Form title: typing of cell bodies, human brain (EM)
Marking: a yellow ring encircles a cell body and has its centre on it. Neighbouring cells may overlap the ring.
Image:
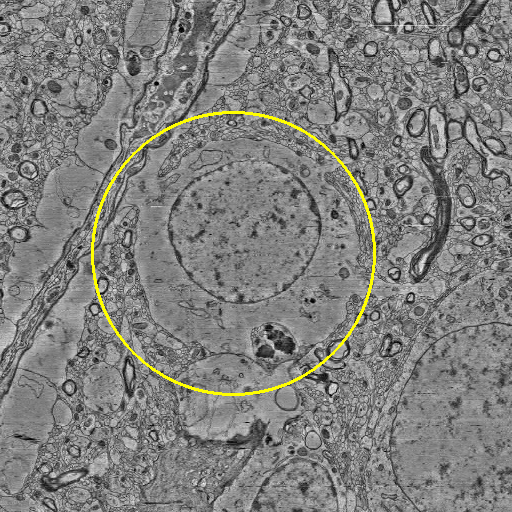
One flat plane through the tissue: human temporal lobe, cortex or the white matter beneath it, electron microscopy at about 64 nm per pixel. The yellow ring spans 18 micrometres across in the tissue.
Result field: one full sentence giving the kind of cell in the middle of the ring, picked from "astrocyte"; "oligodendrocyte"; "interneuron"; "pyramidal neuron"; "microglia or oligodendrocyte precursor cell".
In the picture, the ring is centred on an astrocyte, whose cell body it encircles.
